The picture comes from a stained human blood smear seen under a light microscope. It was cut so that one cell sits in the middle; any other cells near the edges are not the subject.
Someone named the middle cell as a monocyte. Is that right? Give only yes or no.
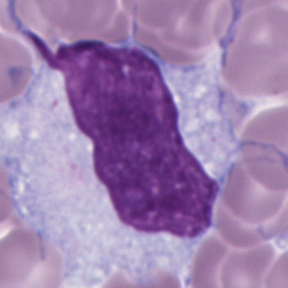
yes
